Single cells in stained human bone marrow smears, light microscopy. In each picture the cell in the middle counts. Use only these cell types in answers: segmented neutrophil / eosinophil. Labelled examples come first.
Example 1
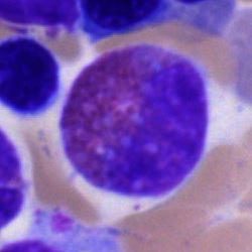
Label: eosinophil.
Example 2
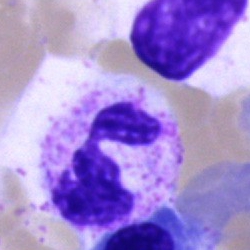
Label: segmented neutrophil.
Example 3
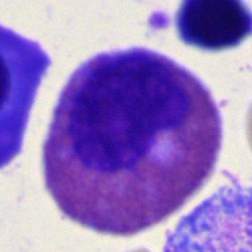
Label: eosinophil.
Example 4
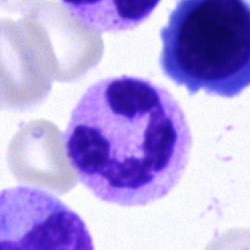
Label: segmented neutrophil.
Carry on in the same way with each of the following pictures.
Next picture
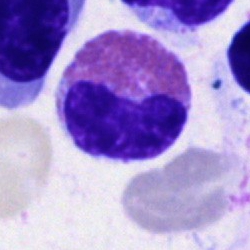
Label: eosinophil.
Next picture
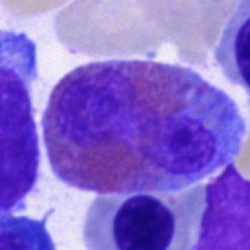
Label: eosinophil.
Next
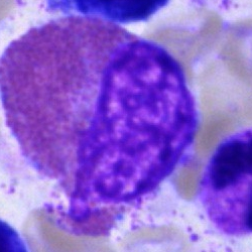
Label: eosinophil.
